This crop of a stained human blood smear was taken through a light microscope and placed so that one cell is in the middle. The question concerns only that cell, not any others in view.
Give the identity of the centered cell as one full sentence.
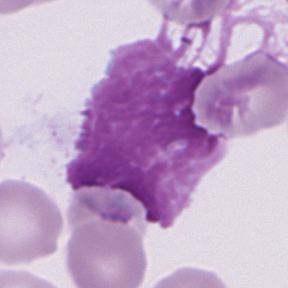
In the centre of this crop there is a smudge cell.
